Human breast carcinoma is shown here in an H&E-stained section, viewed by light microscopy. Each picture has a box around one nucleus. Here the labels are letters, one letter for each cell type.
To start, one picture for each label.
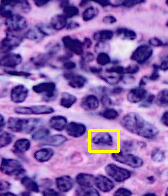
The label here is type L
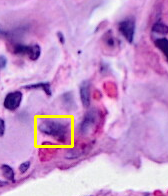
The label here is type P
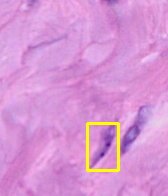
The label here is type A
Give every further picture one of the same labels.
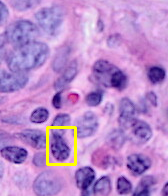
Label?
type L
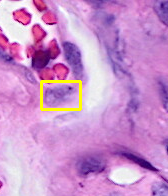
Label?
type P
